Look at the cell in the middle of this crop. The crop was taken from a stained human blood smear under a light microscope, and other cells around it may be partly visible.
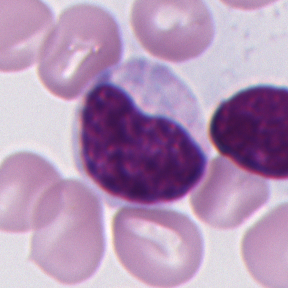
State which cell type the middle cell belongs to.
band neutrophil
